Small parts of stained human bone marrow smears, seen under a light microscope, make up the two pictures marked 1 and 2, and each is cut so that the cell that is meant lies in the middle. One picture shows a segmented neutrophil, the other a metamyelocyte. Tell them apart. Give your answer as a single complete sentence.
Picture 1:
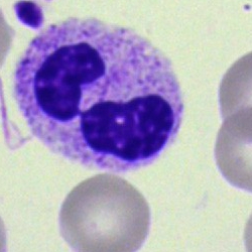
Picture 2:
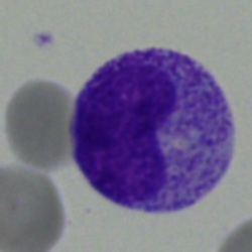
In picture 1 the cell is a segmented neutrophil; in picture 2, a metamyelocyte.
